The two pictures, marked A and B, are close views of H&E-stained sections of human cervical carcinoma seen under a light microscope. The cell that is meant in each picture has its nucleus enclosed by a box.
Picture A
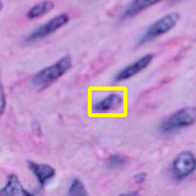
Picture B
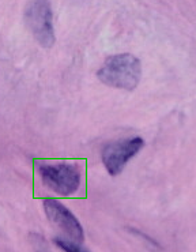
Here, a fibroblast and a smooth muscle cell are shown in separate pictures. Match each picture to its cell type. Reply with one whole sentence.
Picture A is of a smooth muscle cell, and picture B is of a fibroblast.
